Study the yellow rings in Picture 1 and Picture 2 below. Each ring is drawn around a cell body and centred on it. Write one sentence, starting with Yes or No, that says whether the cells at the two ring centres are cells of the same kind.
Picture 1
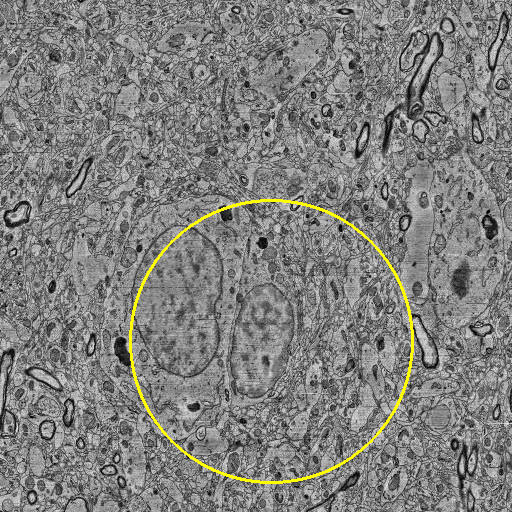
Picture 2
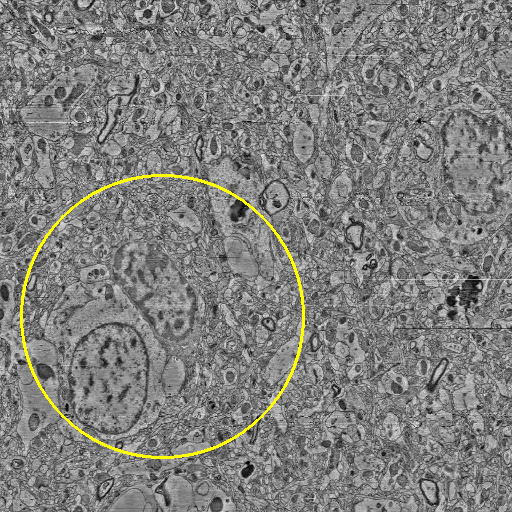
Yes, the cells at both ring centres are of the same kind.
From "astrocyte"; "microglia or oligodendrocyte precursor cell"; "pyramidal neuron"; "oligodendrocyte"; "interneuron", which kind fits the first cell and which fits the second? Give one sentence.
The first and the second cell are each an oligodendrocyte.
